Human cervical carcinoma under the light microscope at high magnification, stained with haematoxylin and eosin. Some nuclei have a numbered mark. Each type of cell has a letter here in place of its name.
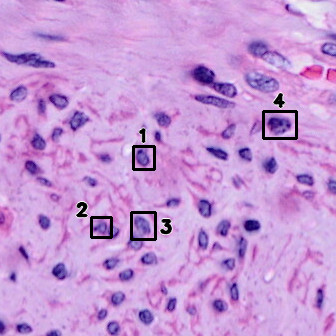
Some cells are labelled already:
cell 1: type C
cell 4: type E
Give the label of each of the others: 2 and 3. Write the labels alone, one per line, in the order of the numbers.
type C
type C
